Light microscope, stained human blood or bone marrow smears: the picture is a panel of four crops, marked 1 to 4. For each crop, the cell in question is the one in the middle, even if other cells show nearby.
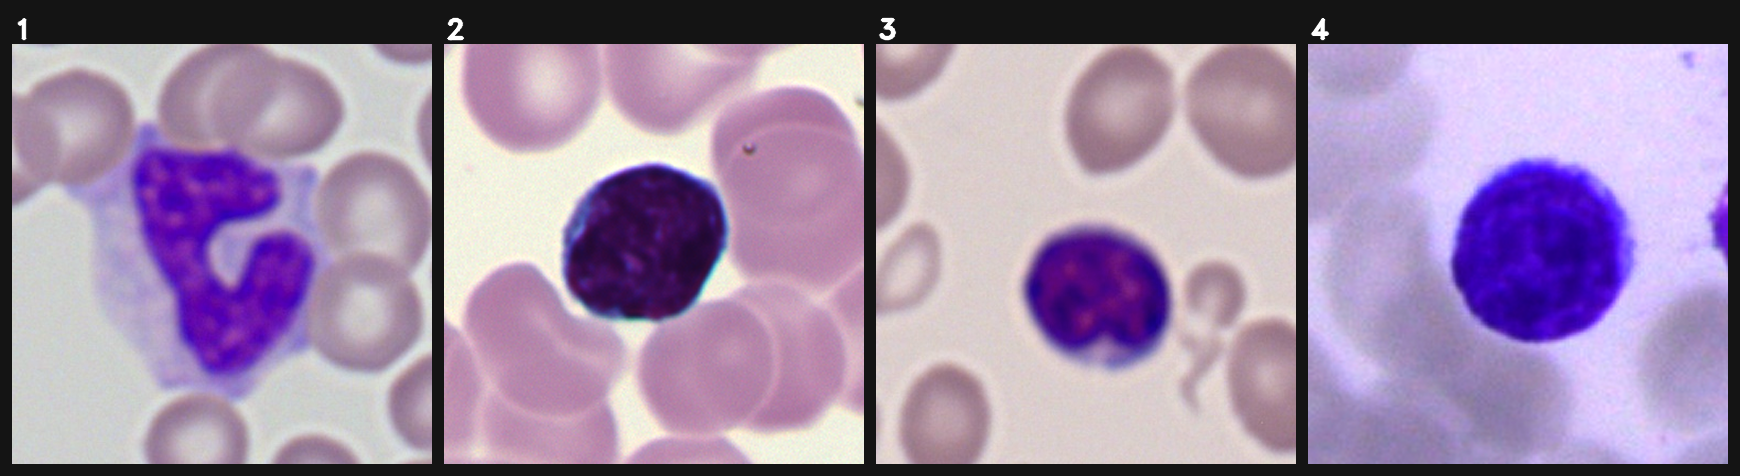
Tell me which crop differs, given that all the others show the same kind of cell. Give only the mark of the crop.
1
